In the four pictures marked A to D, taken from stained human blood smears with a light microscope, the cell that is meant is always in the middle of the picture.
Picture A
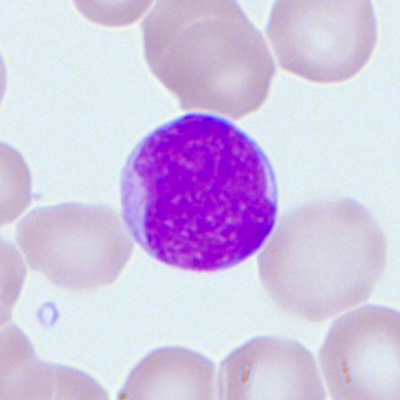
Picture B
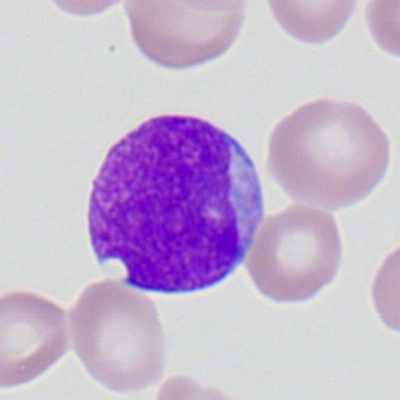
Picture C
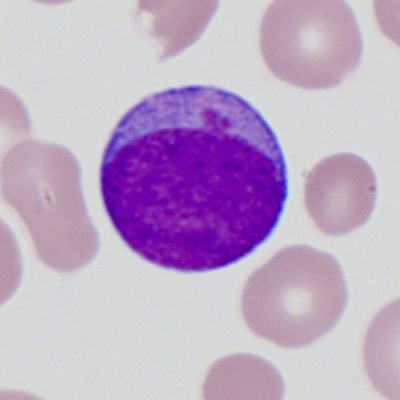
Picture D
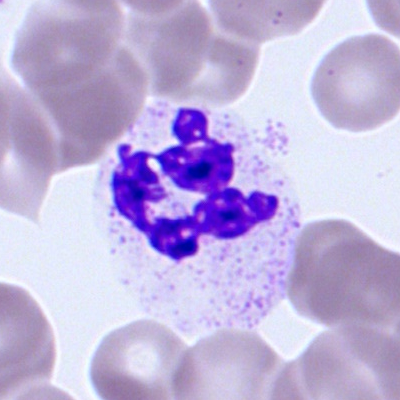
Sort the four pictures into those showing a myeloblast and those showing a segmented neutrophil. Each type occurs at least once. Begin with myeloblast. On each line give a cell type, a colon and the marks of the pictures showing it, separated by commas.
myeloblast: A, B, C
segmented neutrophil: D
